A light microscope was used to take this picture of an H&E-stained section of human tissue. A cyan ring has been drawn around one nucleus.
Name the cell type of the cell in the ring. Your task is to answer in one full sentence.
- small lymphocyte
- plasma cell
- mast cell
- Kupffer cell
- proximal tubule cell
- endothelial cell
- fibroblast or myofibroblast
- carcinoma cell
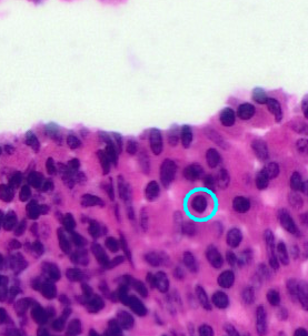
Microscopically, the cell in the ring is categorized as a plasma cell.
